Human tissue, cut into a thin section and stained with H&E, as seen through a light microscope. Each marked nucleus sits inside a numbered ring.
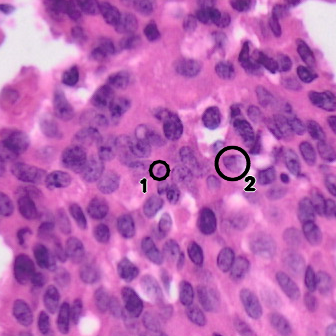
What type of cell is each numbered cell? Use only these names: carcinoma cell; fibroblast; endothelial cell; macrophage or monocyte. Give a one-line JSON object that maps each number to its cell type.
{"1": "carcinoma cell", "2": "macrophage or monocyte"}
